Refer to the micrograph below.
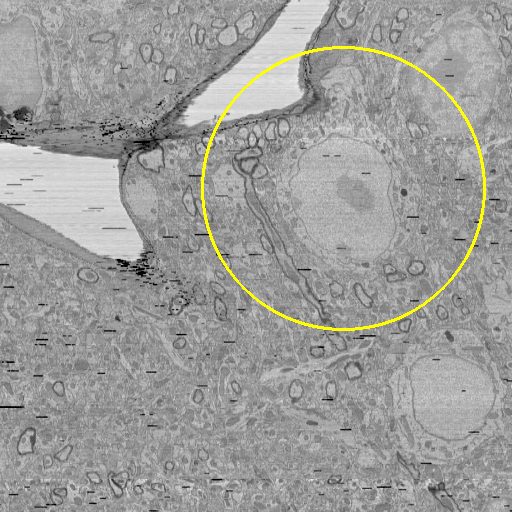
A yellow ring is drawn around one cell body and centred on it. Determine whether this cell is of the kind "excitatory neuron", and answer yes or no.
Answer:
yes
